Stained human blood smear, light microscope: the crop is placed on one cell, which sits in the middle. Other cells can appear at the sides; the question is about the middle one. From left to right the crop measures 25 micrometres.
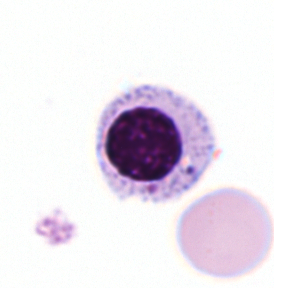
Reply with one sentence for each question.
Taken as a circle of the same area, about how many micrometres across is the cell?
The diameter of the cell comes to about 10 micrometres.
